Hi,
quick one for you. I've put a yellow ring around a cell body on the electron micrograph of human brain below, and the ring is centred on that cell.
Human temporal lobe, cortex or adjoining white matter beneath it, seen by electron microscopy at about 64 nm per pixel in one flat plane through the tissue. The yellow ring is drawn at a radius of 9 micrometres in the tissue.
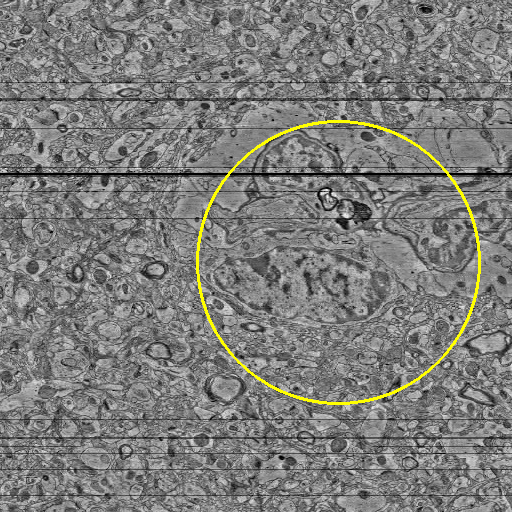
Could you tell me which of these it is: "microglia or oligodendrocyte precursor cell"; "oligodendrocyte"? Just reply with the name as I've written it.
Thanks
microglia or oligodendrocyte precursor cell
